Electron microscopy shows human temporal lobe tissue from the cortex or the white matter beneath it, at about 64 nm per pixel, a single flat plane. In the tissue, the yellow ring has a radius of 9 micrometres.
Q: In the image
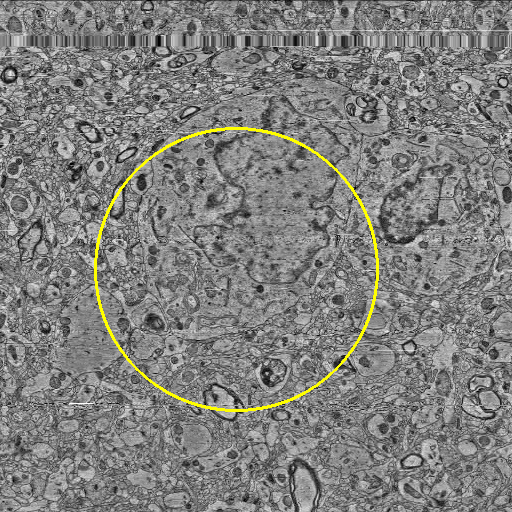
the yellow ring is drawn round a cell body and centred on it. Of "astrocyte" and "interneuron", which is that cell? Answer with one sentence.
The cell centred in the ring is an interneuron.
